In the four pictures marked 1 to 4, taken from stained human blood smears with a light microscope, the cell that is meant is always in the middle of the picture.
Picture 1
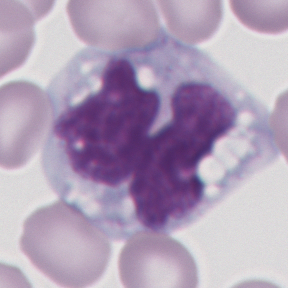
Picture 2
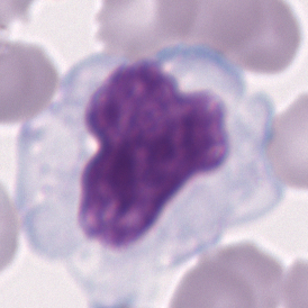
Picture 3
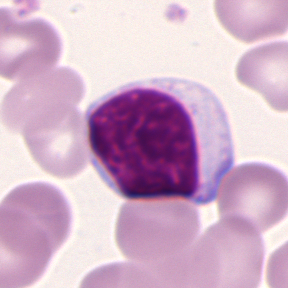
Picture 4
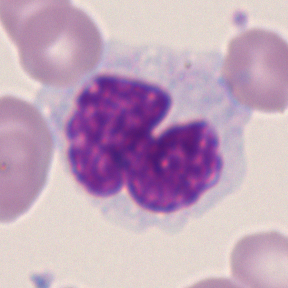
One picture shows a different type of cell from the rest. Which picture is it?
3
